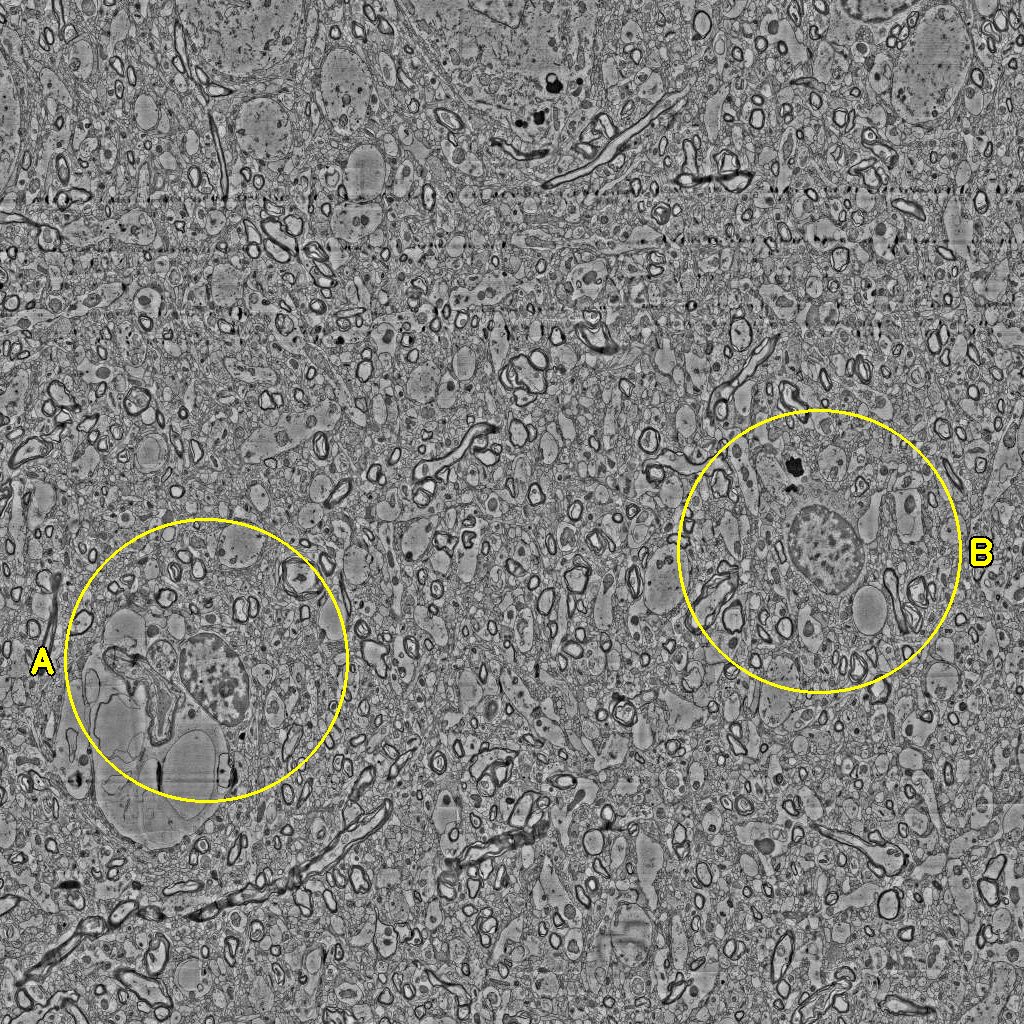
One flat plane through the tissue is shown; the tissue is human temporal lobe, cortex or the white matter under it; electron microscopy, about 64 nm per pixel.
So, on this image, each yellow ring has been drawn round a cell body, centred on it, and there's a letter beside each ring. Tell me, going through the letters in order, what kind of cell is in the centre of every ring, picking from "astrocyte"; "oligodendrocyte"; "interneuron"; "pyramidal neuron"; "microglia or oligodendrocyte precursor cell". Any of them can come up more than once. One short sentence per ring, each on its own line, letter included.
Ring A has been drawn round a microglial cell or oligodendrocyte precursor cell.
Ring B has been drawn round an oligodendrocyte.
